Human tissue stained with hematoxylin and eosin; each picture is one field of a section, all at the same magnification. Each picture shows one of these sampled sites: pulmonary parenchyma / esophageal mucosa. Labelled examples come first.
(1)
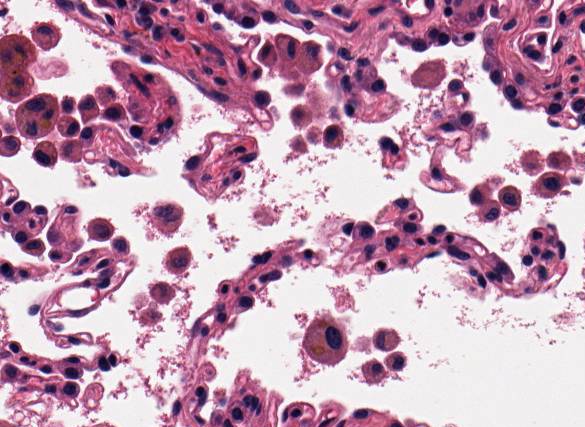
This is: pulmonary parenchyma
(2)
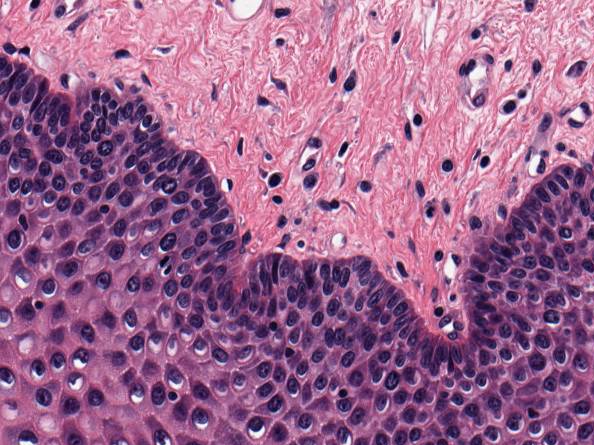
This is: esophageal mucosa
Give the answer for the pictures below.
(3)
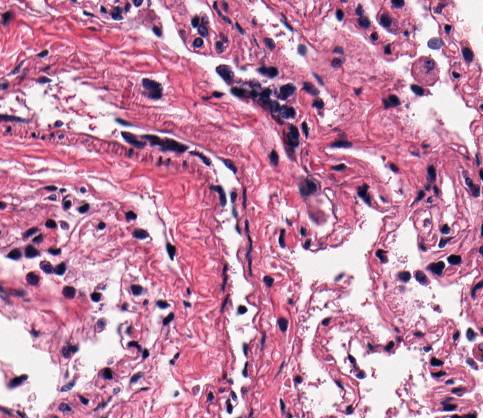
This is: pulmonary parenchyma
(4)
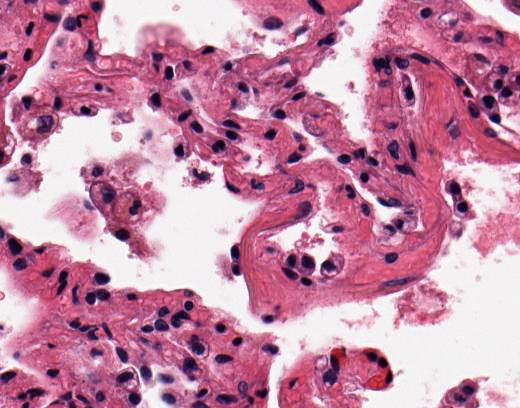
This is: pulmonary parenchyma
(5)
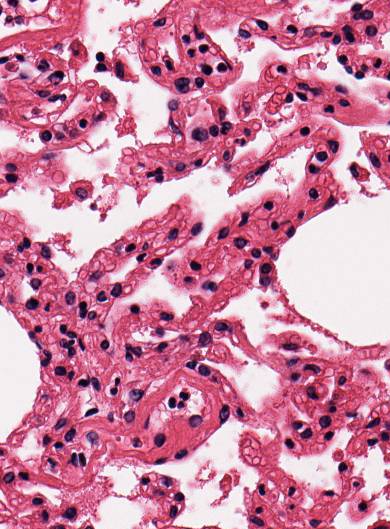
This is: pulmonary parenchyma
